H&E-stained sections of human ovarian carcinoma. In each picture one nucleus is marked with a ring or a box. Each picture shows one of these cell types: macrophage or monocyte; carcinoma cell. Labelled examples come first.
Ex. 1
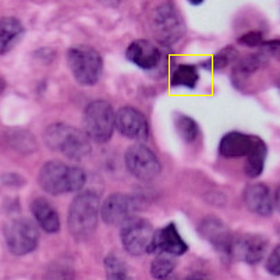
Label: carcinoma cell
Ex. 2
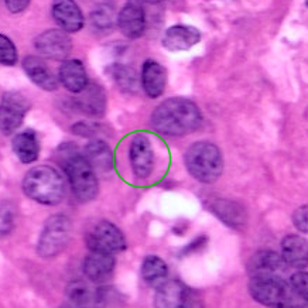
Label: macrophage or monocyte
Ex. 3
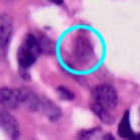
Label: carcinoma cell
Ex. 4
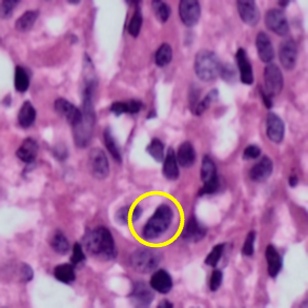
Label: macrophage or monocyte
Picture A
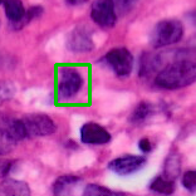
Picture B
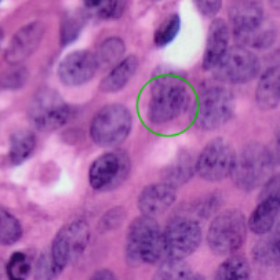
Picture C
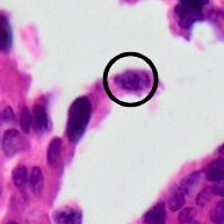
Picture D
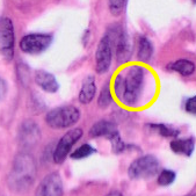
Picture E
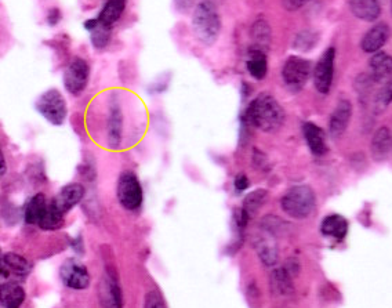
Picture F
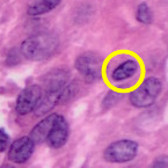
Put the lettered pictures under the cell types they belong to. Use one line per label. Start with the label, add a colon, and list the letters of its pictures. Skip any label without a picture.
macrophage or monocyte: A, C, E, F
carcinoma cell: B, D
